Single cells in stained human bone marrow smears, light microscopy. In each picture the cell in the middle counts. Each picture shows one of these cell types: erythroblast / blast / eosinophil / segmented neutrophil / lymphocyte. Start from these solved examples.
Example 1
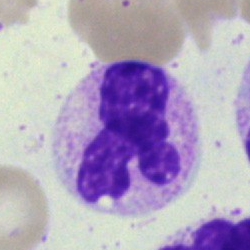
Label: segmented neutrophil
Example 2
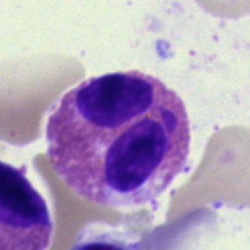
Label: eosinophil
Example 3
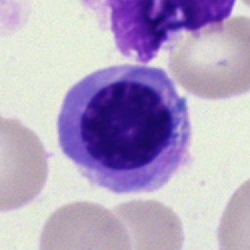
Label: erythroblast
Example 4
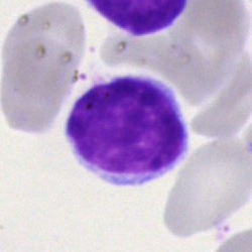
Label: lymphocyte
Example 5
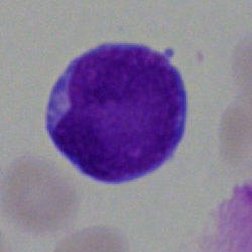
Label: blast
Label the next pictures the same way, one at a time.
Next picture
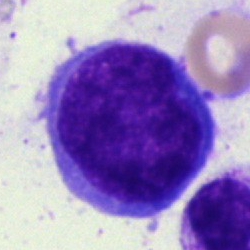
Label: blast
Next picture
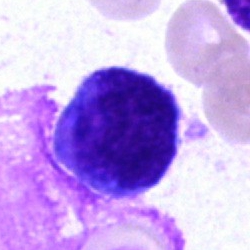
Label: blast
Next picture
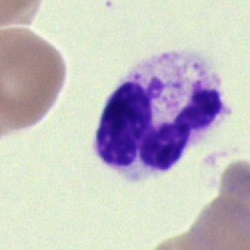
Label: segmented neutrophil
